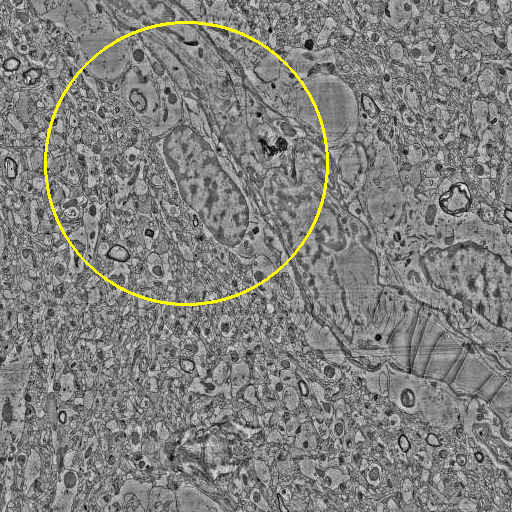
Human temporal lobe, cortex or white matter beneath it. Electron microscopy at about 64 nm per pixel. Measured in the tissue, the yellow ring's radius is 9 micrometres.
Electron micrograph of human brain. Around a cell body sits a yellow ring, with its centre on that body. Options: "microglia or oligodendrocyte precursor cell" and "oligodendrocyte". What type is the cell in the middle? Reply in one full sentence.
The cell sitting at the centre of the yellow ring is a microglial cell or oligodendrocyte precursor cell.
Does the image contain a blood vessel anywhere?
Yes, one shows.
